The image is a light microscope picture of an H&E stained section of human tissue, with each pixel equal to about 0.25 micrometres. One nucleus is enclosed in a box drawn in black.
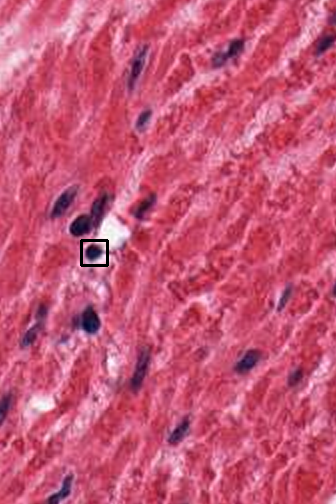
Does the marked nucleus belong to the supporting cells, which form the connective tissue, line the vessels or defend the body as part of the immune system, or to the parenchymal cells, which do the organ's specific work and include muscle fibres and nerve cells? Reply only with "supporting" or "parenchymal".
supporting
